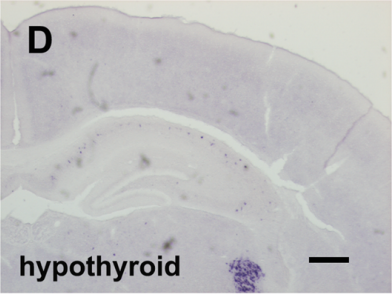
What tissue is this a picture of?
Cerebral cortex and hippocampus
